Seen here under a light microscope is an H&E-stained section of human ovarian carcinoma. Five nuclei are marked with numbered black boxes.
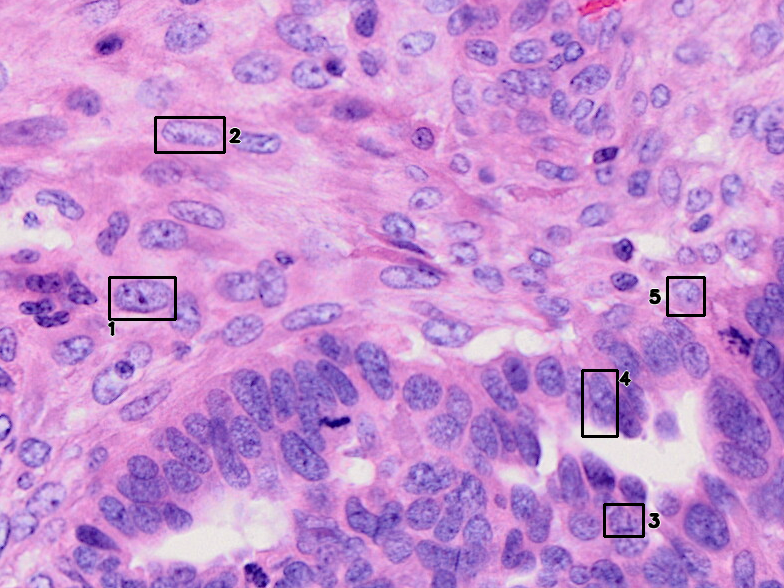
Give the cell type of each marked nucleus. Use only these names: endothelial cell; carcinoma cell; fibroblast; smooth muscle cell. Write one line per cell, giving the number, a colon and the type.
1: fibroblast
2: fibroblast
3: carcinoma cell
4: carcinoma cell
5: fibroblast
